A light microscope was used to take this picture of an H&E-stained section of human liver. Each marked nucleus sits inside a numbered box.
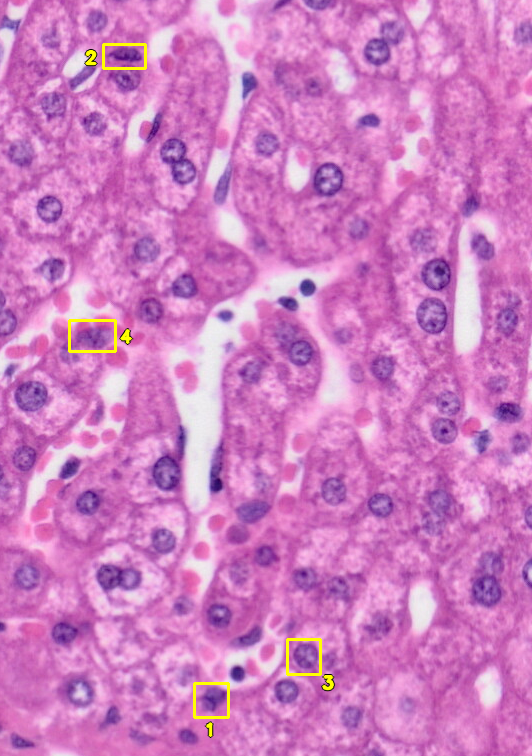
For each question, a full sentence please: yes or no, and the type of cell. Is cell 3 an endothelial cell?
No, it is a hepatocyte, not an endothelial cell, that number 3 marks.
